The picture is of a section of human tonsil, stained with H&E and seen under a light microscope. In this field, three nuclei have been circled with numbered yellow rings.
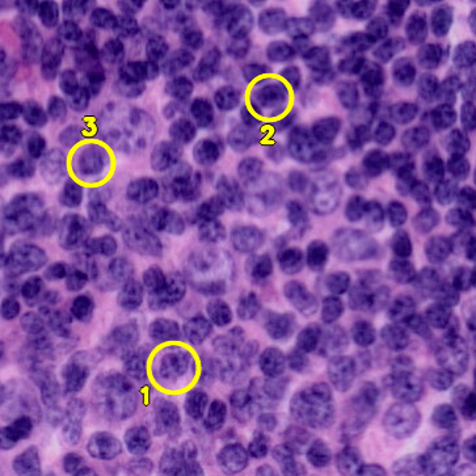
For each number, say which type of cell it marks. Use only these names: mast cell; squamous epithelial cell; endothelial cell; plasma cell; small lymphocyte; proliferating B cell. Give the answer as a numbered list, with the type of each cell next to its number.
1. proliferating B cell
2. small lymphocyte
3. proliferating B cell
